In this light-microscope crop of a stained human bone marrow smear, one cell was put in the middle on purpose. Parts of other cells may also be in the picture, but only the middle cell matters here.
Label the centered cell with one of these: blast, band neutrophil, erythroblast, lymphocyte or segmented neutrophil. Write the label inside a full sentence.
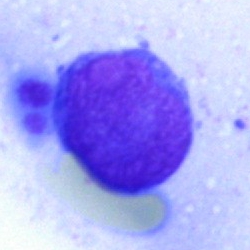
The cell shown in the center of this light-microscope crop is a blast.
